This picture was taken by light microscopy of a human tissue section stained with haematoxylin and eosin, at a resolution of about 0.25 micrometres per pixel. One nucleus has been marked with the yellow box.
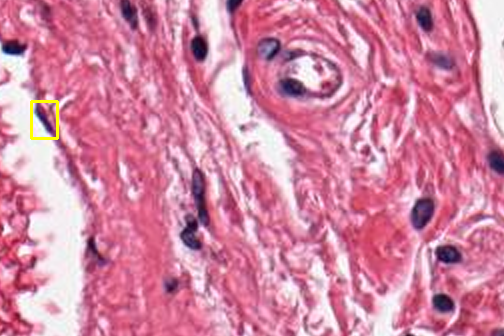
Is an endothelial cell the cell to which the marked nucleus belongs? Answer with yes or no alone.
yes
